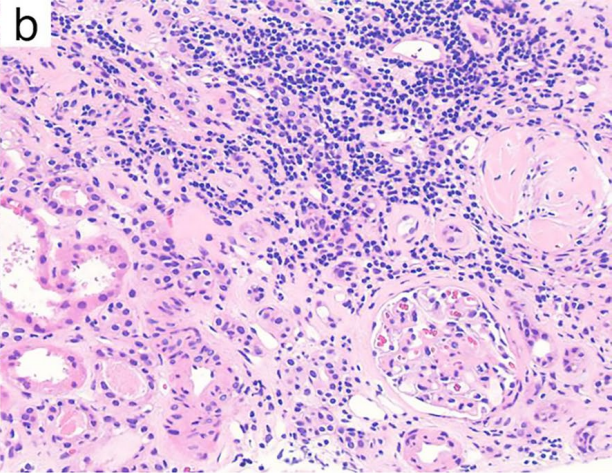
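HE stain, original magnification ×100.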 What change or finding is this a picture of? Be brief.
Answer: Lymphocytic infiltration.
